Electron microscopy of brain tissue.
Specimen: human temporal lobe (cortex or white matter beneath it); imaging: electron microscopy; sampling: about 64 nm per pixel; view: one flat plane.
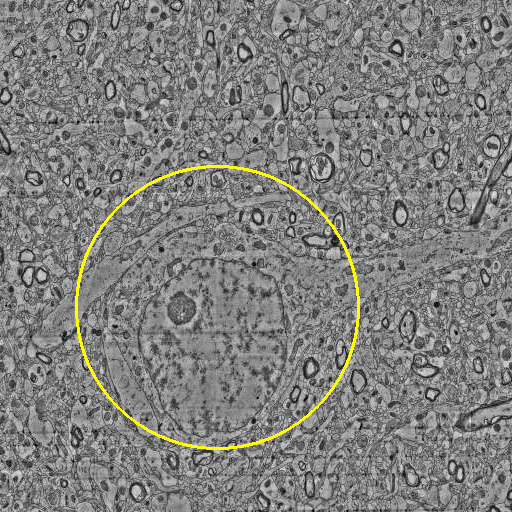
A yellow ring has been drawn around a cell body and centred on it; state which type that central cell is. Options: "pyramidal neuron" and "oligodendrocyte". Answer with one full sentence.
The cell at the middle of the yellow ring is a pyramidal neuron in this picture.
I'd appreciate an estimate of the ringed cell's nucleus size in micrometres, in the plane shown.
The nucleus of the ringed cell is approximately 12 by 10 micrometres in this plane.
